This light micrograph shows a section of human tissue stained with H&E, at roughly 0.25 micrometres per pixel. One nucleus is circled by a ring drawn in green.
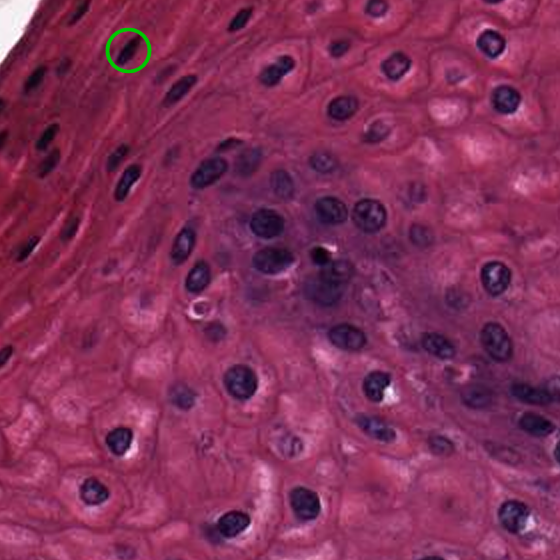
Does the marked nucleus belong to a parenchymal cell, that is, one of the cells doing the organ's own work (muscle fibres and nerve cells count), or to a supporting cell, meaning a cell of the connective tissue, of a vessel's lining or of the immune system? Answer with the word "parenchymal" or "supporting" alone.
parenchymal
